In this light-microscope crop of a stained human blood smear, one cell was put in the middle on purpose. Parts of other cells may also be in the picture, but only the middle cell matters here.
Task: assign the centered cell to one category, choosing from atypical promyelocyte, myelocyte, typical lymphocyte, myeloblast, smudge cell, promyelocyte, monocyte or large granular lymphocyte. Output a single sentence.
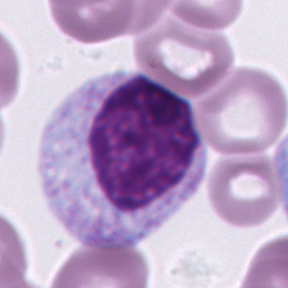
The cell found in the middle of this crop is a myelocyte.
